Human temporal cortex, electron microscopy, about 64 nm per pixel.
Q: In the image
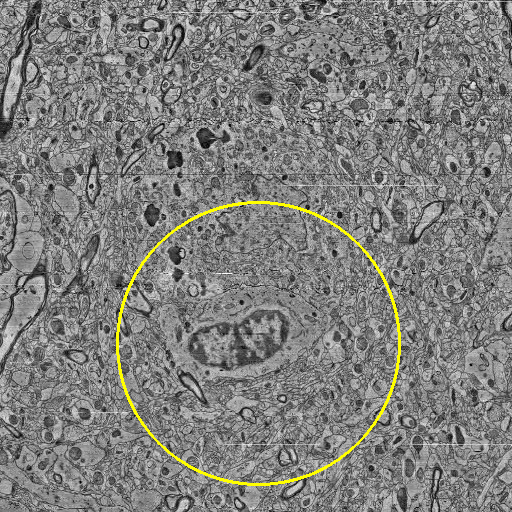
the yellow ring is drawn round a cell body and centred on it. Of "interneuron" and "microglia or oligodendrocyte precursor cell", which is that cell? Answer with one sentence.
The cell centred in the ring is a microglial cell or oligodendrocyte precursor cell.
